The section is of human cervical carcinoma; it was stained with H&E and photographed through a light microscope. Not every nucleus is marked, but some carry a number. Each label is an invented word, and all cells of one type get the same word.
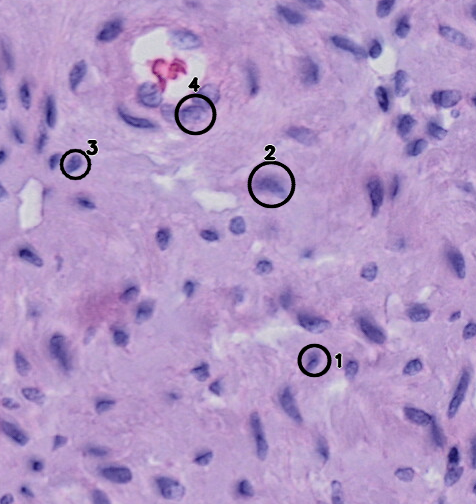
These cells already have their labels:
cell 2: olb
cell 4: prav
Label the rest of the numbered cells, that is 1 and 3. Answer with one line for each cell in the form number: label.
1: olb
3: olb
